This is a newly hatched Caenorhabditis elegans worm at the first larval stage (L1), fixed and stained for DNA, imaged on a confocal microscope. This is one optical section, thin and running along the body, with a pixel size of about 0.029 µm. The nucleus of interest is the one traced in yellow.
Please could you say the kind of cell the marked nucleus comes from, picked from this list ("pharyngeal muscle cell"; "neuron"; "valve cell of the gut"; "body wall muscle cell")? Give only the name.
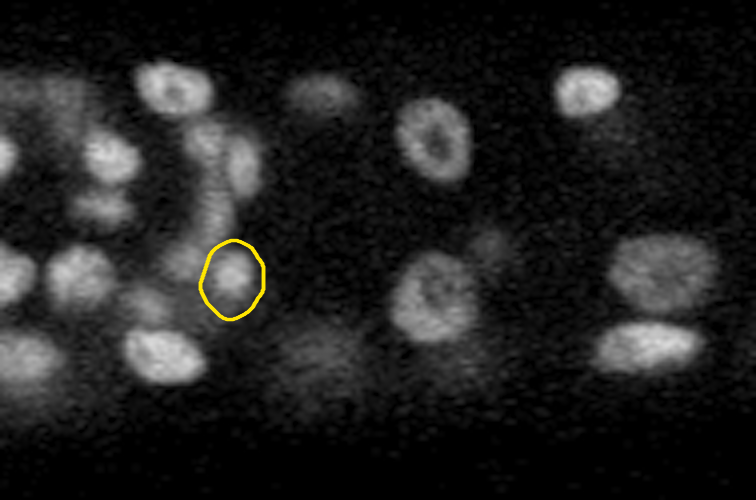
valve cell of the gut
